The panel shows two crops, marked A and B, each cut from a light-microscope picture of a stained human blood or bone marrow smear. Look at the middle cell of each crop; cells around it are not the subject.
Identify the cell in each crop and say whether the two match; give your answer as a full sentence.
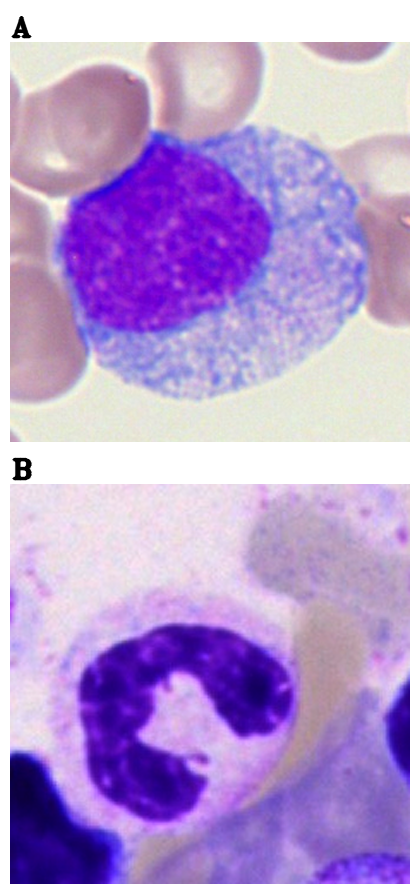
No, crop A shows a monocyte, whereas a segmented neutrophil is what crop B shows.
